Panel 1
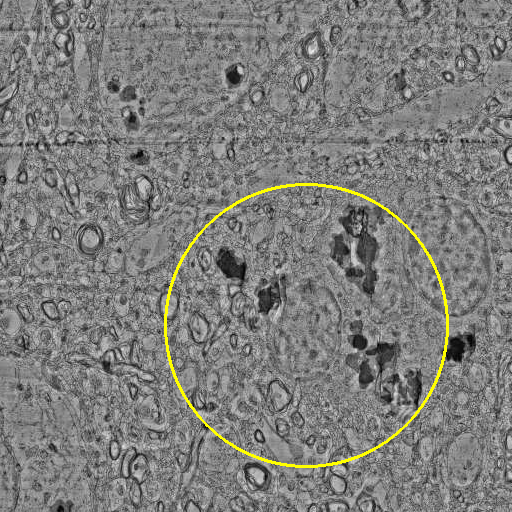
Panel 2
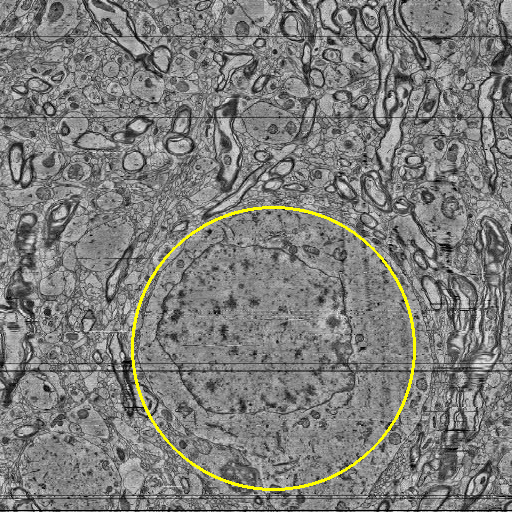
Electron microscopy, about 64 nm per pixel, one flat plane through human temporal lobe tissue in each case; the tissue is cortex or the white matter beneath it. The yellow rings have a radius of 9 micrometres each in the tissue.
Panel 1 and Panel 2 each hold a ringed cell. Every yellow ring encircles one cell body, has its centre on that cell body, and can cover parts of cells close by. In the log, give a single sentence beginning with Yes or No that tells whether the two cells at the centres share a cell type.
No, in Panel 1 and Panel 2 the centred cells are of two cell types.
